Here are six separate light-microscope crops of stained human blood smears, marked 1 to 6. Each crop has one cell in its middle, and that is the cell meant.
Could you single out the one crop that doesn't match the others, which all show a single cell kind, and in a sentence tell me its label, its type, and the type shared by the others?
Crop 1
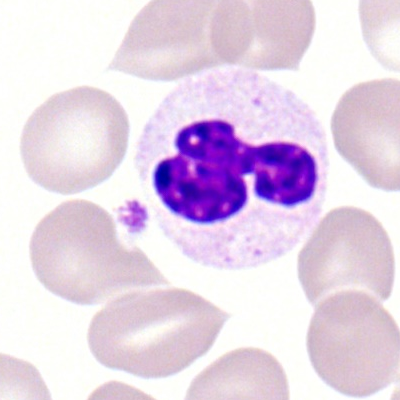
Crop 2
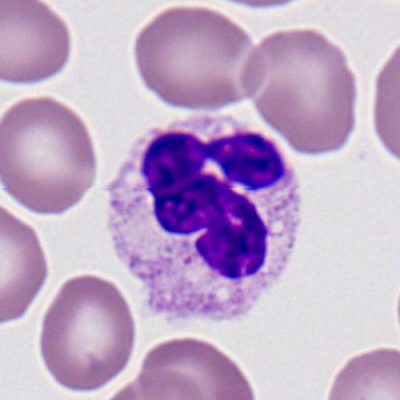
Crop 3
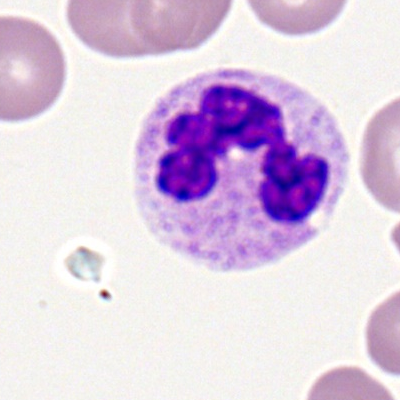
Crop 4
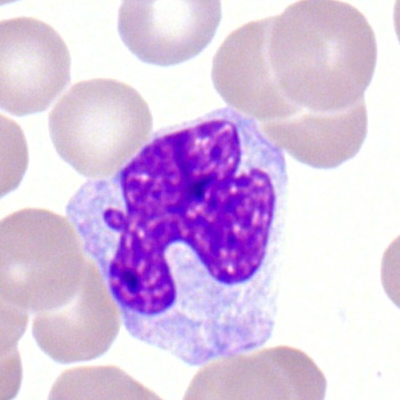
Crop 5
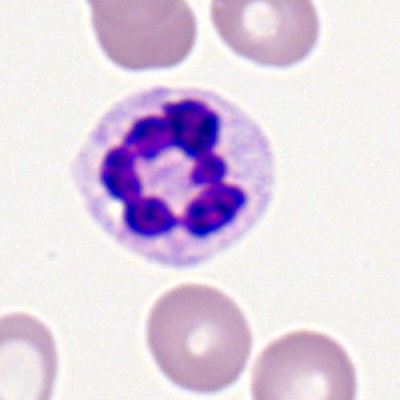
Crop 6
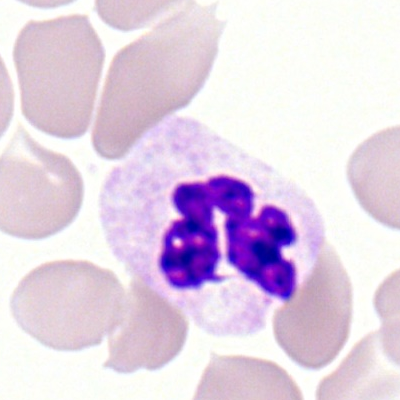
There is a monocyte in crop 4, while all the other crops show segmented neutrophils.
